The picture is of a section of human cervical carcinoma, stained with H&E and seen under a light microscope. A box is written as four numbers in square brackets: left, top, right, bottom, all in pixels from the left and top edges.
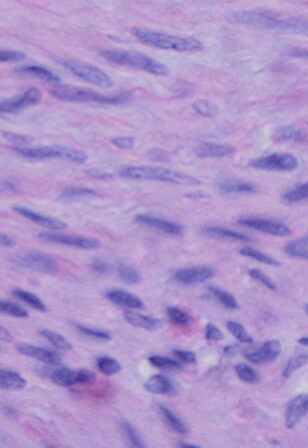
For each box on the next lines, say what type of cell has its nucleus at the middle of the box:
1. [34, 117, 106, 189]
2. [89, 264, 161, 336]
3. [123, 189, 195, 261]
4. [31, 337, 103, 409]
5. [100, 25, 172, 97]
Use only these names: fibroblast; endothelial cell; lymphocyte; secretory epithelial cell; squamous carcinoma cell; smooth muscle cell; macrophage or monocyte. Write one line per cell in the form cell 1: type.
cell 1: smooth muscle cell
cell 2: fibroblast
cell 3: fibroblast
cell 4: fibroblast
cell 5: smooth muscle cell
